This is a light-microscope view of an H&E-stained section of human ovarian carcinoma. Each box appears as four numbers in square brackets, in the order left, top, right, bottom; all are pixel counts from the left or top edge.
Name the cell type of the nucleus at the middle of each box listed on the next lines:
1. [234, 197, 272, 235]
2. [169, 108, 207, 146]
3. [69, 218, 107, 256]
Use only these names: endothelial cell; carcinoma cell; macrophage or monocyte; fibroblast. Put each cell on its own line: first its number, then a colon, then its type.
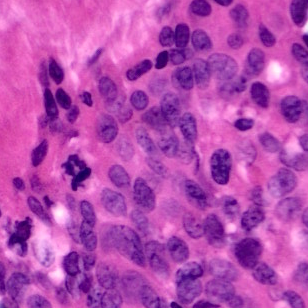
1: carcinoma cell
2: macrophage or monocyte
3: carcinoma cell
